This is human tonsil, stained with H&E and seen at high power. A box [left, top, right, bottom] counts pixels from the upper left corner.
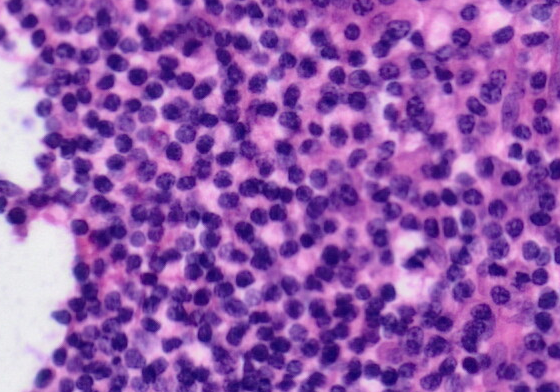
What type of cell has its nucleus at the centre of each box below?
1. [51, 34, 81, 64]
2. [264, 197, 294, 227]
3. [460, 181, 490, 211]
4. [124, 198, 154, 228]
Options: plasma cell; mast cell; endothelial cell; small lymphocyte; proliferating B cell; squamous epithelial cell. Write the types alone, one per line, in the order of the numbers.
small lymphocyte
small lymphocyte
plasma cell
small lymphocyte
